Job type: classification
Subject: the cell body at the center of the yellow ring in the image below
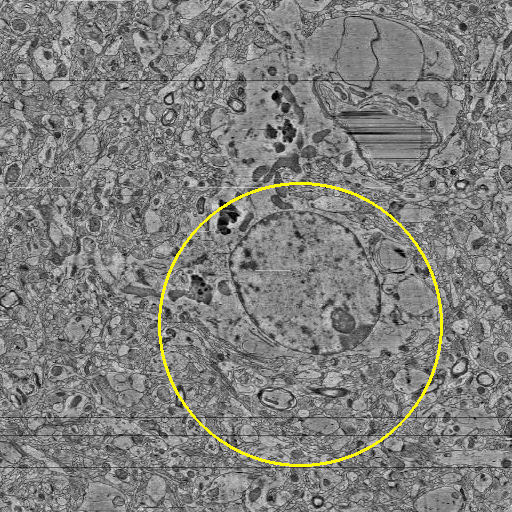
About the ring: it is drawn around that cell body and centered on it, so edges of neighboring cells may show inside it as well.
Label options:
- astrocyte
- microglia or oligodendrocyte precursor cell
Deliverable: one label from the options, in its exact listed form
astrocyte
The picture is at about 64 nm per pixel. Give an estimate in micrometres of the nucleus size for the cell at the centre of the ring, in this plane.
The ringed cell's nucleus is about 10 micrometres long and 9 micrometres wide in this plane.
